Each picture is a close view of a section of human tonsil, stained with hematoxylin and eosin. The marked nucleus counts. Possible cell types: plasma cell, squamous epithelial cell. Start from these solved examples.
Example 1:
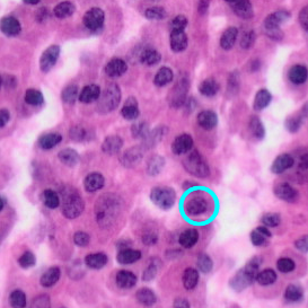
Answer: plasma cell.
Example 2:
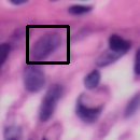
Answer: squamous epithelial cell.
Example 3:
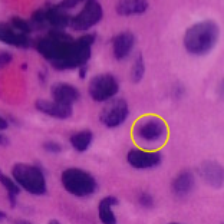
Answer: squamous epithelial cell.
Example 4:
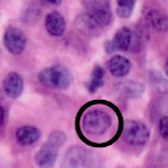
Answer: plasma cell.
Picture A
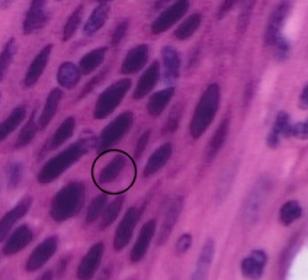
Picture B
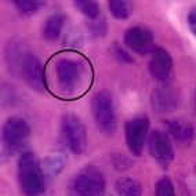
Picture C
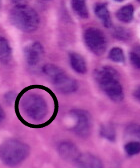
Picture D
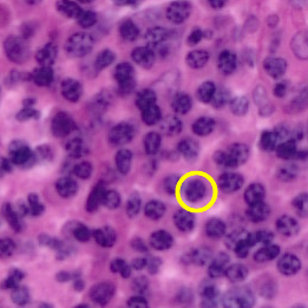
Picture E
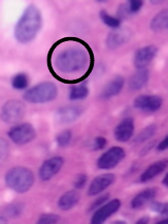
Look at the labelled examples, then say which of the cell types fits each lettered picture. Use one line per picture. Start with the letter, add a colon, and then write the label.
A: squamous epithelial cell.
B: squamous epithelial cell.
C: squamous epithelial cell.
D: plasma cell.
E: squamous epithelial cell.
